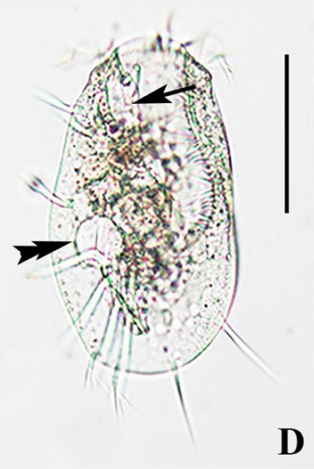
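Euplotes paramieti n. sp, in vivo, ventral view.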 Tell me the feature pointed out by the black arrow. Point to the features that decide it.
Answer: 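The pouch along right side of peristome. A narrow pocket-like structure near the anterior end beside the oral region.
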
